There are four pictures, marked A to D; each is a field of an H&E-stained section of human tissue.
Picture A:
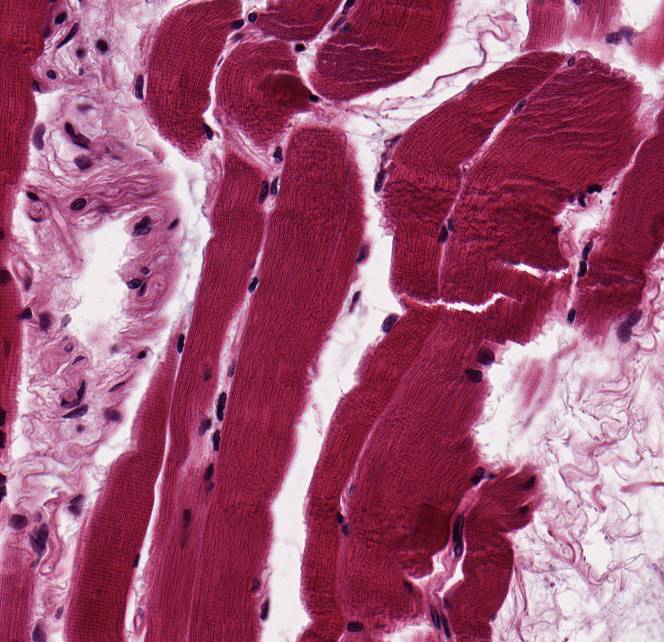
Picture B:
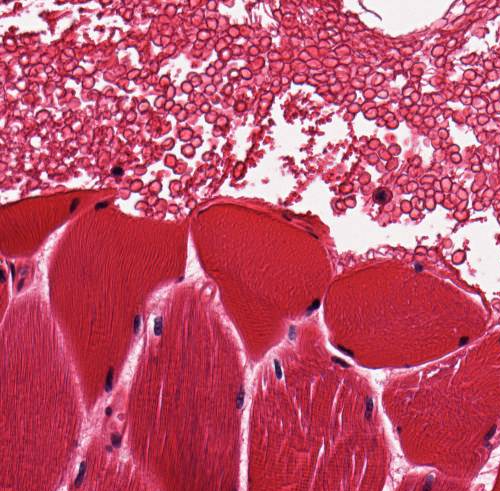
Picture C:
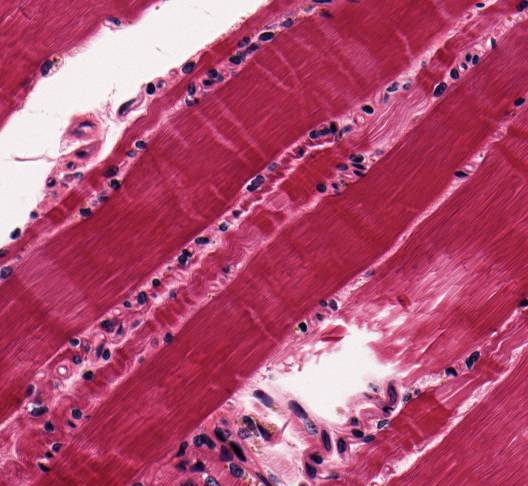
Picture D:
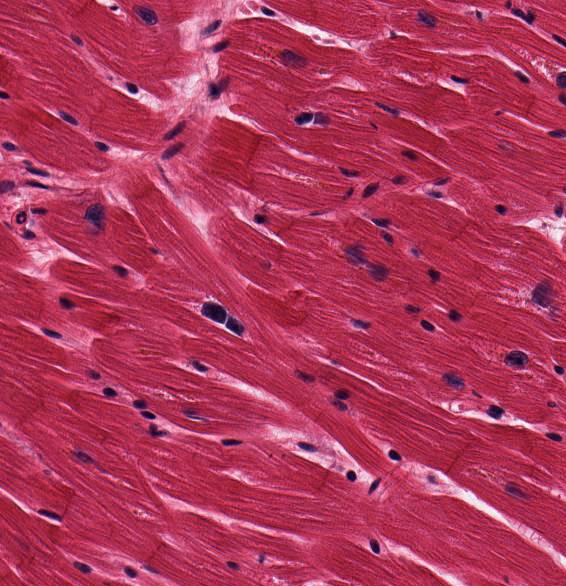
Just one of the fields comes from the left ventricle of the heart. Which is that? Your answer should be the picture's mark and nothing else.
D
